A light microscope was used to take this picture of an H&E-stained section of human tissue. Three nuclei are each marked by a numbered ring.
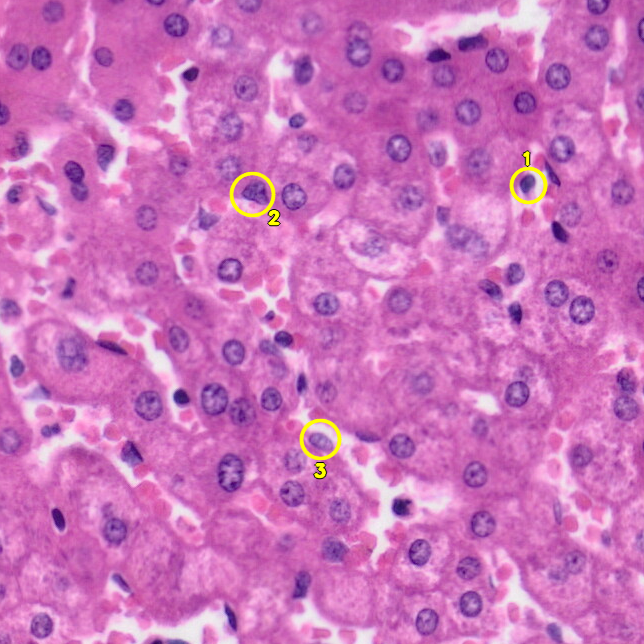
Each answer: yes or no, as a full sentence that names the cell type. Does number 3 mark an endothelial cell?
No, cell 3 is not an endothelial cell at all but a Kupffer cell.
